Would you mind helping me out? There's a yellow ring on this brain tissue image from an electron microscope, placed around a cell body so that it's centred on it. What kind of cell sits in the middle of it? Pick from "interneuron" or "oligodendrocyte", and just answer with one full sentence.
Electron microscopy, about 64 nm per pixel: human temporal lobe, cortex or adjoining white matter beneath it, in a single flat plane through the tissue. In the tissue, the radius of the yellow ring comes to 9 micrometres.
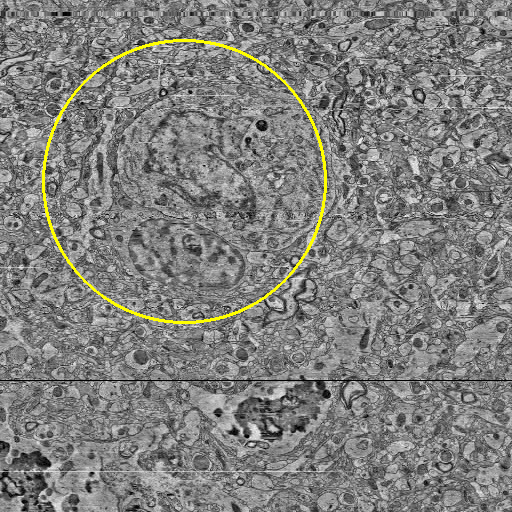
What sits in the middle of that yellow ring is an interneuron, from your choices.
